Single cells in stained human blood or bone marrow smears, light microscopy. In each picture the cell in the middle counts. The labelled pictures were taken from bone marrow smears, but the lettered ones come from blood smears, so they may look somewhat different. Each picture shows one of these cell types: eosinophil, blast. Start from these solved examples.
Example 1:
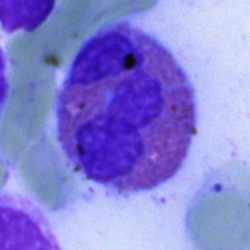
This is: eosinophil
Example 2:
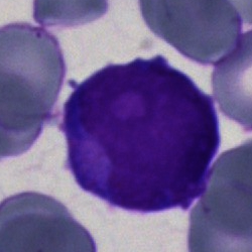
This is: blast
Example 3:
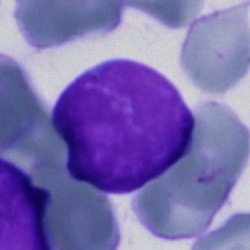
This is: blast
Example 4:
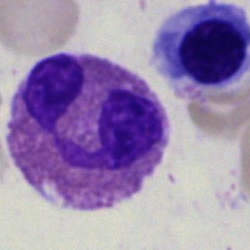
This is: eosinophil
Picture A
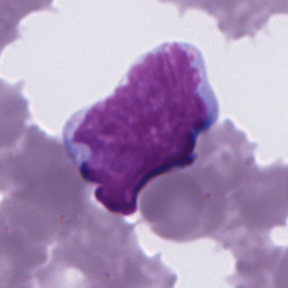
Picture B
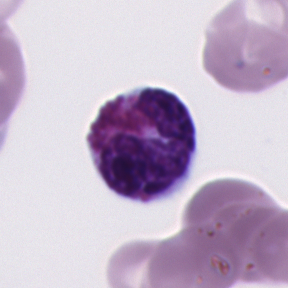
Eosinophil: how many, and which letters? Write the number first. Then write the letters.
1, namely B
